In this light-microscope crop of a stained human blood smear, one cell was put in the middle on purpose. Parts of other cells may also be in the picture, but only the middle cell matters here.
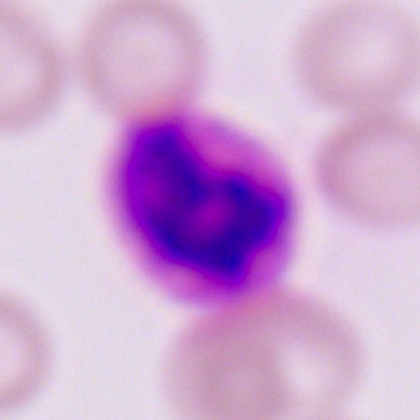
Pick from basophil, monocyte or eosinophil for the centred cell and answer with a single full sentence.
Whatever else lies nearby, the middle cell is a basophil.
